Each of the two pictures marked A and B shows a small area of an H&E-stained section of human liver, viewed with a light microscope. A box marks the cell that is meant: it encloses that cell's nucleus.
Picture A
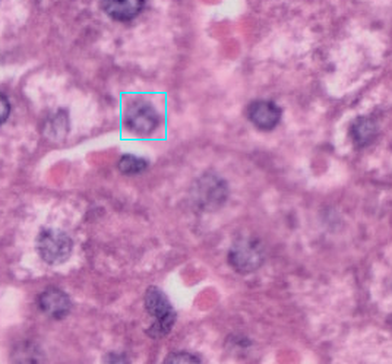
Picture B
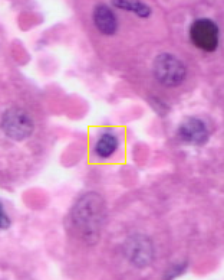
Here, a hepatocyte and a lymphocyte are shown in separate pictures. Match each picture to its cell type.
A: hepatocyte
B: lymphocyte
